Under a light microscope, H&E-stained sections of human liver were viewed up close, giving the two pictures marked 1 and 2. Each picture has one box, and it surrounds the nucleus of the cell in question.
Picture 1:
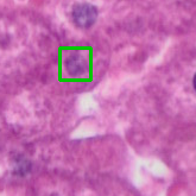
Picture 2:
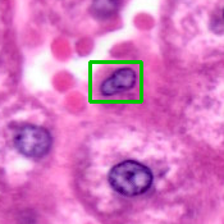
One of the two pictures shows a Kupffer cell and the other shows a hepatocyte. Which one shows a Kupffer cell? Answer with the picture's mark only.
2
